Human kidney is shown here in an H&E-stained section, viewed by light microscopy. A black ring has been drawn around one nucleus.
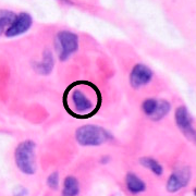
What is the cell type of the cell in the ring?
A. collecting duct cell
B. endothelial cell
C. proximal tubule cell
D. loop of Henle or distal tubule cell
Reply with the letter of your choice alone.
B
